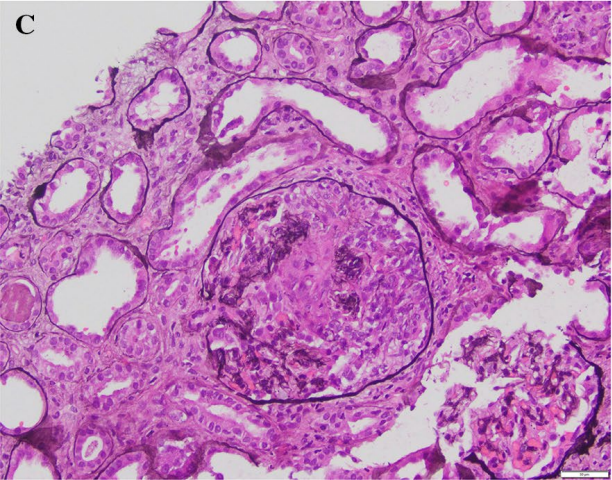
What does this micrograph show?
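Renal cortex with a glomerulus at the centre surrounded by tubules. Within the black capsule line, the tuft is collapsed into clumped black-staining loops, while pale pink cellular tissue fills much of the surrounding space. Few open capillary lumens remain in the affected glomerulus. Nearby tubules are dilated with flattened lining cells, their basement membranes outlined in black, and the interstitium between them is widened with scattered cells. Part of a second glomerulus is seen at the lower right edge.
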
